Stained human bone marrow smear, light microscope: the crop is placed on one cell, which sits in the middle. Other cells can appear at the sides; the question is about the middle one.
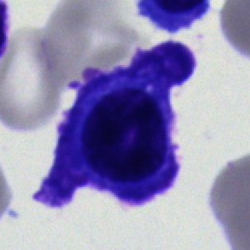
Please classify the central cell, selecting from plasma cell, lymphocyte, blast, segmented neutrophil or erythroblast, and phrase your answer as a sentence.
The middle position in this crop is taken by a plasma cell.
